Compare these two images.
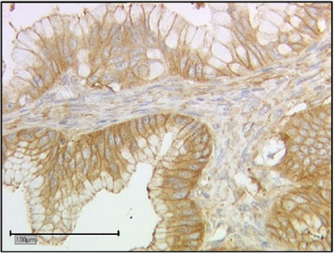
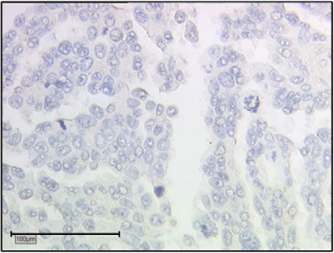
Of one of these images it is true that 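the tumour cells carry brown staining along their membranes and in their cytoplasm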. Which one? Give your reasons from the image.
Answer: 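First image: strong brown outlines around each columnar cell and brown cytoplasm. Second image: tumour cells show only blue nuclei and pale grey cytoplasm, no brown. So: the first image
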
